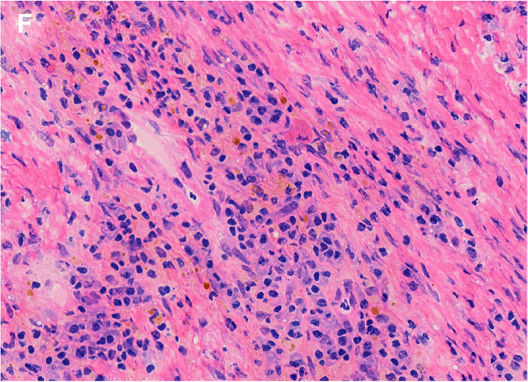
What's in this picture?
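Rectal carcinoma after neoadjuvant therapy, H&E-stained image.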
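Fibrous stroma densely infiltrated by inflammatory cells. Many small round cells with dark purple nuclei and scant cytoplasm lie in sheets and streams between pink collagen bundles. Some larger cells with more abundant cytoplasm and oval nuclei are mixed among them. Scattered golden-brown pigment granules lie within the infiltrate. The collagen runs in roughly parallel bands diagonally across the field.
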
